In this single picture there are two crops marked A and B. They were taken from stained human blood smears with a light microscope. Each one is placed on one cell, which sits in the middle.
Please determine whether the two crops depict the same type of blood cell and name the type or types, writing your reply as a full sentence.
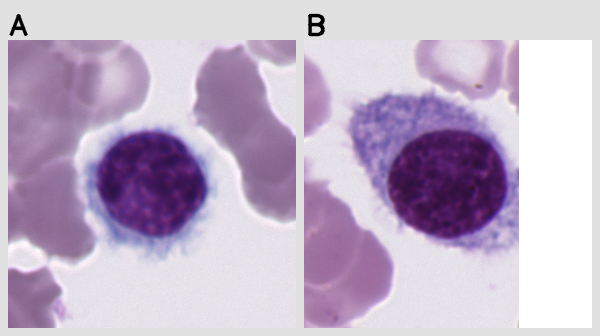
Yes, both crops here show hairy cells, the pair of them.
